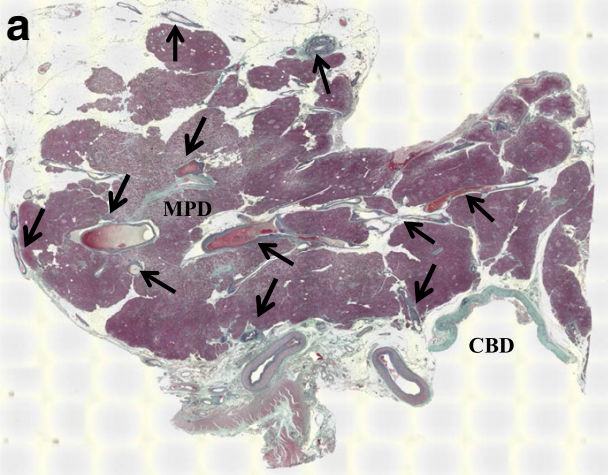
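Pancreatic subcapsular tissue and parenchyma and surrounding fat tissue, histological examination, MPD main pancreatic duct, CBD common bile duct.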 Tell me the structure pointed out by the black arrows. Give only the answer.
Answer: Dilated and tortuous vessels.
